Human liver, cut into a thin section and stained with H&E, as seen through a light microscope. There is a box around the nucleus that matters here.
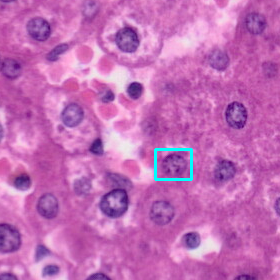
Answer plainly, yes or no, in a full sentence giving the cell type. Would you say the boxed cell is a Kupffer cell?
No, that is wrong: the boxed cell is a hepatocyte, not a Kupffer cell.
